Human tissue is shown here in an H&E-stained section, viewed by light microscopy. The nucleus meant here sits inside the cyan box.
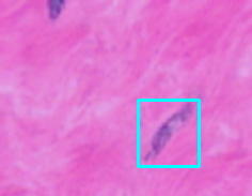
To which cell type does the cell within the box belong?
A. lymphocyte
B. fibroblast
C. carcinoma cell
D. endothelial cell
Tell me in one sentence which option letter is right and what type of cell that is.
Option B, which has the cell within the box as a fibroblast, is the correct choice.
